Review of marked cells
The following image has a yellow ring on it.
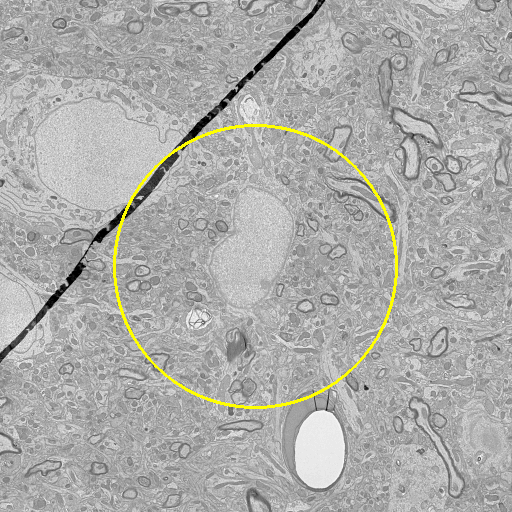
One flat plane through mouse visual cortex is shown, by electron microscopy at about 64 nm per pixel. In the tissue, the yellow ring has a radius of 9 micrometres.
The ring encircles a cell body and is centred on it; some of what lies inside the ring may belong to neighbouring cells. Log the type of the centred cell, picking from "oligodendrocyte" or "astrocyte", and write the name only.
astrocyte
